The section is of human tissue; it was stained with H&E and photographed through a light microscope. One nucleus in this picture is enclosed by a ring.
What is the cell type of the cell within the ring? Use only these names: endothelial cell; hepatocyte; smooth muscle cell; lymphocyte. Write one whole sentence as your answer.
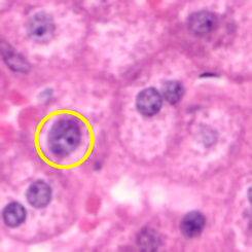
This is a hepatocyte.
